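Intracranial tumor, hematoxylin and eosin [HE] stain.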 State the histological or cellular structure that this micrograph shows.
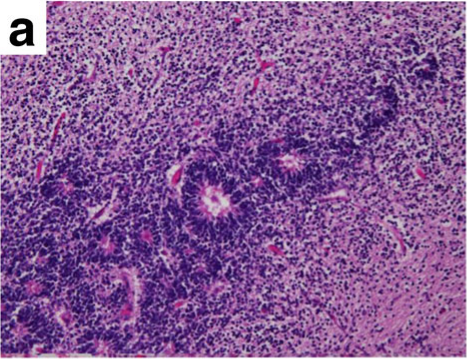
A: Immature neural tubules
